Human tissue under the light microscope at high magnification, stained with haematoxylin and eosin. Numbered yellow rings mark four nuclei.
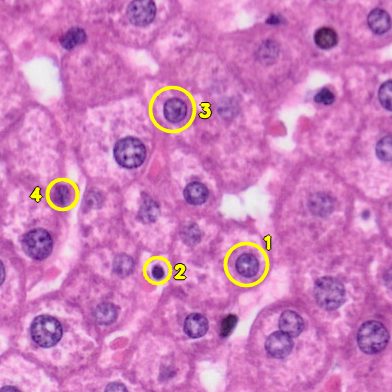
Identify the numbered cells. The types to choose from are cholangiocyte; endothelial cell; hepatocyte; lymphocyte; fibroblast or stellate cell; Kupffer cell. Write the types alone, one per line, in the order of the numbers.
hepatocyte
lymphocyte
hepatocyte
Kupffer cell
